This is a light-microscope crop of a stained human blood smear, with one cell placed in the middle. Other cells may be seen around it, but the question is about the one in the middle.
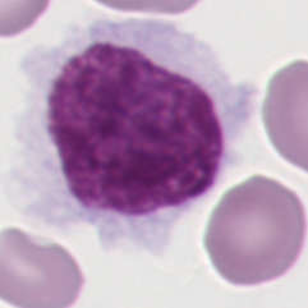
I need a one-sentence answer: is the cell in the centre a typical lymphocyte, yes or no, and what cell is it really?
No, the central cell is designated a hairy cell and not a typical lymphocyte.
